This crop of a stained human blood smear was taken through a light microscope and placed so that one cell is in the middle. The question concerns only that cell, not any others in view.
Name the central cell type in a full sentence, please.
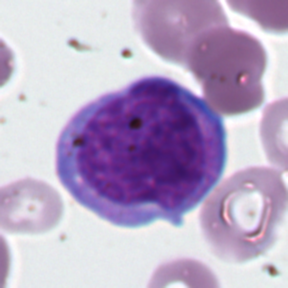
The cell positioned in the middle of the field is an atypical promyelocyte.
